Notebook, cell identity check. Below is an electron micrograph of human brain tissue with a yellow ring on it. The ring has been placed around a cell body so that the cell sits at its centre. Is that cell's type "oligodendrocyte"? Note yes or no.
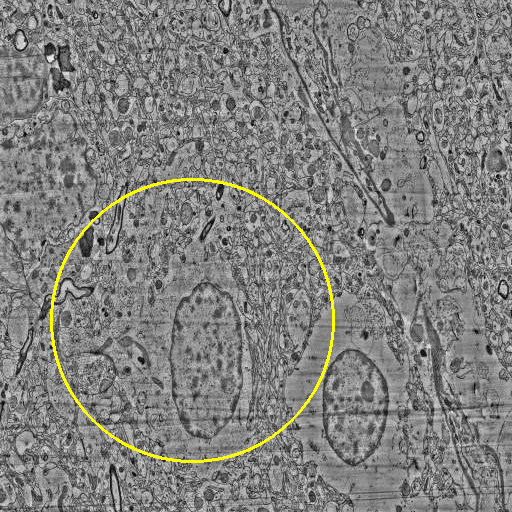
No, its cell type is another one.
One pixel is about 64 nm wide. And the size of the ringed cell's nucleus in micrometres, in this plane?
In this plane the nucleus is roughly 10 by 5 micrometres, clearly longer than it is wide.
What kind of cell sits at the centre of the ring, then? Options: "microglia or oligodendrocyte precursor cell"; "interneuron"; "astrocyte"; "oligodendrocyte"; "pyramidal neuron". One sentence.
The cell shown in the ring is an astrocyte.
